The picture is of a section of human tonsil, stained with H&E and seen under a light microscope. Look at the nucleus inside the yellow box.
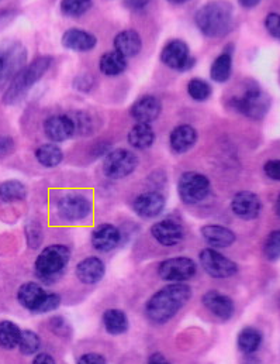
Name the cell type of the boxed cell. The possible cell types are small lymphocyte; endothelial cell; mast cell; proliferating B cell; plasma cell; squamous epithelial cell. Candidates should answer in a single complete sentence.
The expected answer is simply that the boxed cell is a plasma cell.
